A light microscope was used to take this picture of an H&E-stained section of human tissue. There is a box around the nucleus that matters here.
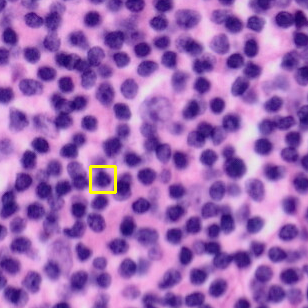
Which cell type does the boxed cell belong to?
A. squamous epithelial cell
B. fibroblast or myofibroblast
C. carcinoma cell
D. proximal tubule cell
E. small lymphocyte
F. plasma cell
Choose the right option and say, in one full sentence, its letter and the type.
Looking at the options, pick E; the boxed cell is a small lymphocyte.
